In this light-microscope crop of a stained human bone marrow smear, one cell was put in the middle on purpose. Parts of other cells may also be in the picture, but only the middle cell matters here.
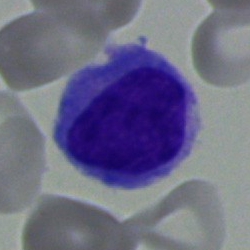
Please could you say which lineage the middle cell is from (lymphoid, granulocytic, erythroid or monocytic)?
monocytic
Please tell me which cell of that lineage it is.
monocyte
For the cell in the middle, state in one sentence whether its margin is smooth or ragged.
This cell does not have a smooth edge; it is ragged or extended into projections.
